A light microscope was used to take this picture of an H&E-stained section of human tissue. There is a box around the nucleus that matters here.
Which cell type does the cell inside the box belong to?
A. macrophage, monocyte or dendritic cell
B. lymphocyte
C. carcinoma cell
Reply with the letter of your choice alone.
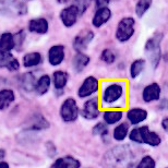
B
